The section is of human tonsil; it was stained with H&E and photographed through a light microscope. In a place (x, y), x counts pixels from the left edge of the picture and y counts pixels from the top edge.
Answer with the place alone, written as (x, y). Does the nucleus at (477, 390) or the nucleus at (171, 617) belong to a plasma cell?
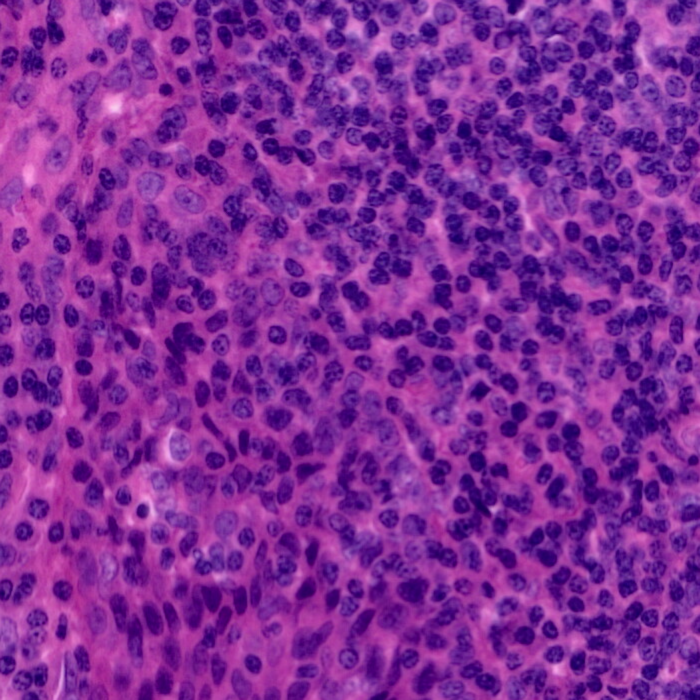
(477, 390)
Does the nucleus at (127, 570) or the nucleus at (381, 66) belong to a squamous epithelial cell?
(127, 570)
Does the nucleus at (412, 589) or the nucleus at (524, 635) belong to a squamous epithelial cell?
(412, 589)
